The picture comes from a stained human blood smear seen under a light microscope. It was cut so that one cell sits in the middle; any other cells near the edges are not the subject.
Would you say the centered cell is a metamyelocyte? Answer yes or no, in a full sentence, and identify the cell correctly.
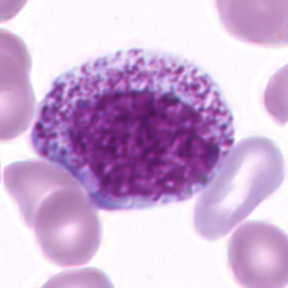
No, the cell at the centre of the crop is a myelocyte and not a metamyelocyte.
